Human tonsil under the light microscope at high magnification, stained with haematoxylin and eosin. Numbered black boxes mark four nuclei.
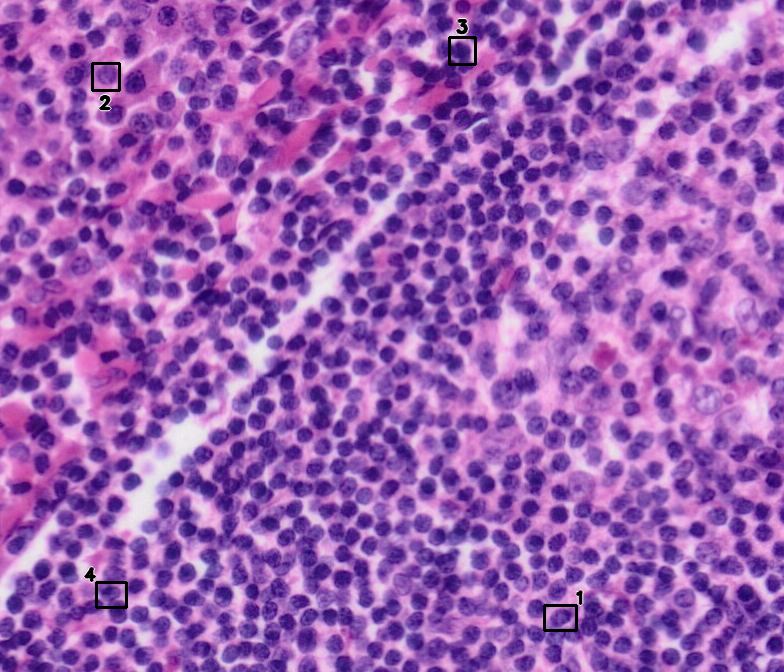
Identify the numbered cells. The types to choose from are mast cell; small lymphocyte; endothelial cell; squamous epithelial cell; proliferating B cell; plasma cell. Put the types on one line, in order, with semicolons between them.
small lymphocyte; plasma cell; small lymphocyte; small lymphocyte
